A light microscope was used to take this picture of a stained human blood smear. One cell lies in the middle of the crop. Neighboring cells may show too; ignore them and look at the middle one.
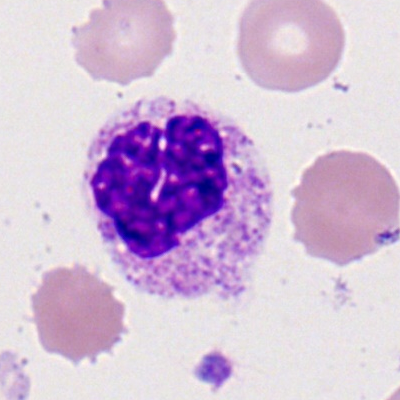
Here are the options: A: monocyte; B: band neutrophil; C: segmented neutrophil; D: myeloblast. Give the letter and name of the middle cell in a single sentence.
Option B is the correct selection, for the cell at the centre is a band neutrophil.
